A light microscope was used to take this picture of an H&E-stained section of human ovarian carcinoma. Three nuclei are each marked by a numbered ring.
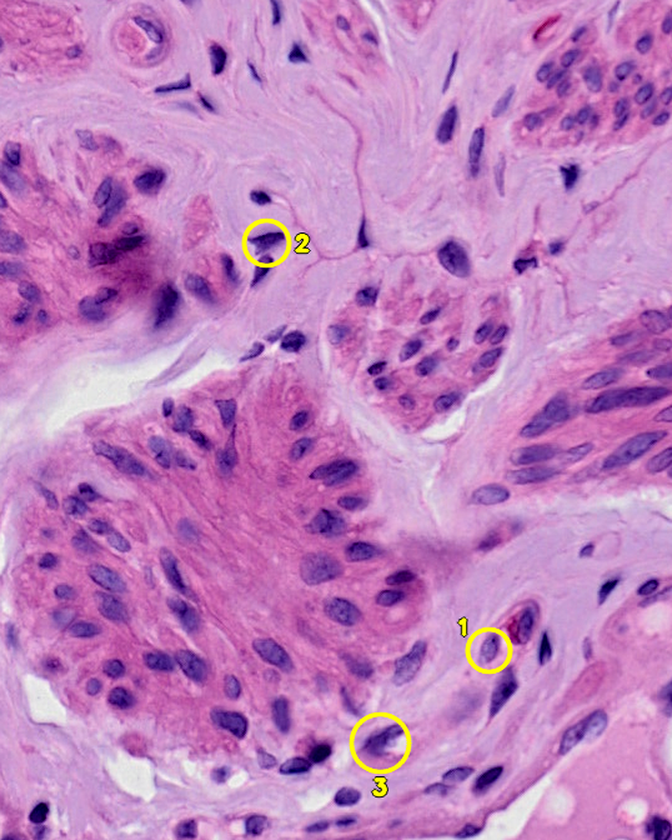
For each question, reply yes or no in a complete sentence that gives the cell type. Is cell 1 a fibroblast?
No, with respect, cell 1 is an endothelial cell rather than a fibroblast.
